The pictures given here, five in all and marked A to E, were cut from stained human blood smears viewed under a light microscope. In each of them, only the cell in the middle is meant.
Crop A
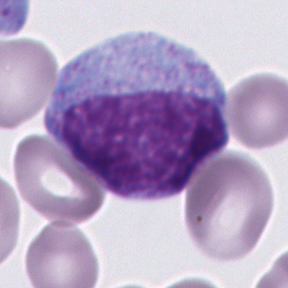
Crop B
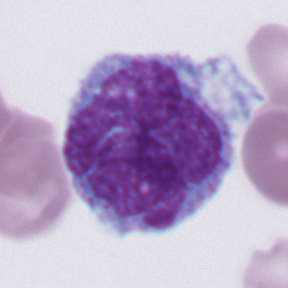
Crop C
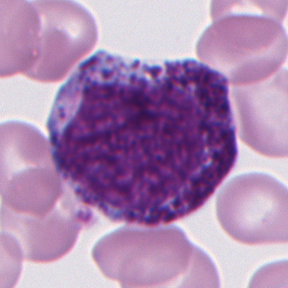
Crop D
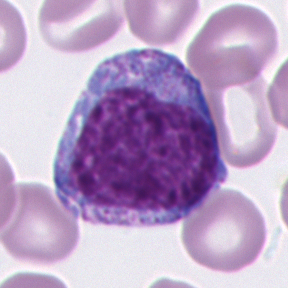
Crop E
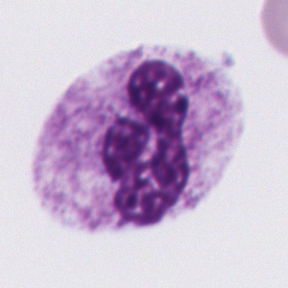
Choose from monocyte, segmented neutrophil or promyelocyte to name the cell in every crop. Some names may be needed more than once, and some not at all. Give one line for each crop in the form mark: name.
A: promyelocyte
B: monocyte
C: promyelocyte
D: promyelocyte
E: segmented neutrophil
